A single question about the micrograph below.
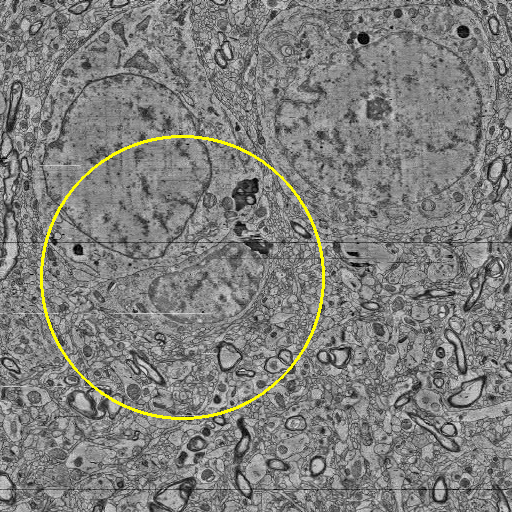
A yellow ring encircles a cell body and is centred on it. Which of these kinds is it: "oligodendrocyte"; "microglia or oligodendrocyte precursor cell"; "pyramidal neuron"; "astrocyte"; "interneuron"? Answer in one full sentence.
The cell body at the centre of the yellow ring belongs to an oligodendrocyte.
